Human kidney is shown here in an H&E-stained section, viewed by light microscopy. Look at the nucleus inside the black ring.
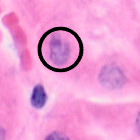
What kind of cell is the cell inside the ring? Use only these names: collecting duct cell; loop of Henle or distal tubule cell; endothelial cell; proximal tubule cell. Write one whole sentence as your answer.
In this tissue section, the cell inside the ring is to be classed as a proximal tubule cell.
